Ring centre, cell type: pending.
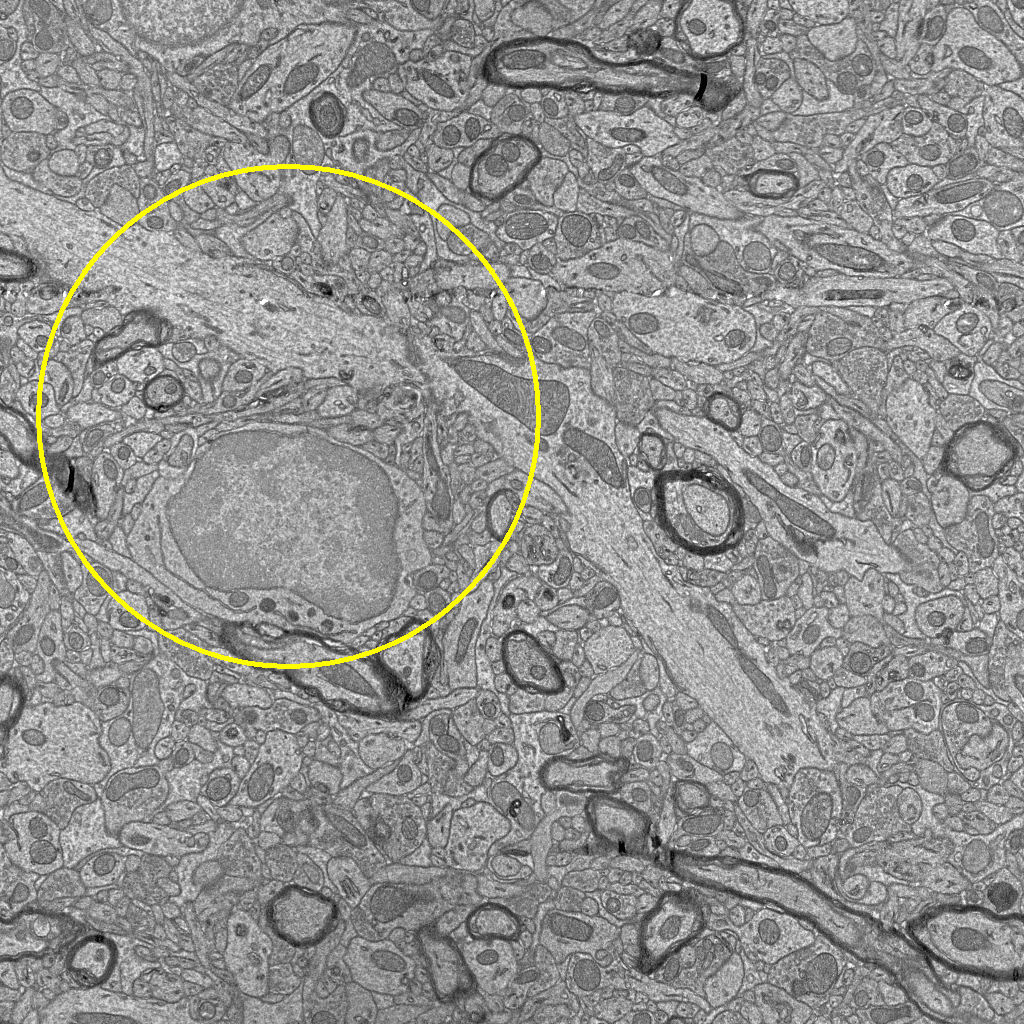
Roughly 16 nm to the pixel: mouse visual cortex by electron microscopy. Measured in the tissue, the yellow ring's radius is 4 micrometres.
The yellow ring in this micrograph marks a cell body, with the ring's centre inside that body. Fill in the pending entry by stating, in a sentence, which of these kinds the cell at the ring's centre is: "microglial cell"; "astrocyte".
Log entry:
The cell at the ring's centre is recorded as a microglial cell.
